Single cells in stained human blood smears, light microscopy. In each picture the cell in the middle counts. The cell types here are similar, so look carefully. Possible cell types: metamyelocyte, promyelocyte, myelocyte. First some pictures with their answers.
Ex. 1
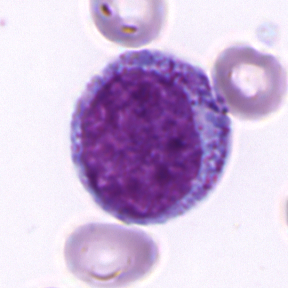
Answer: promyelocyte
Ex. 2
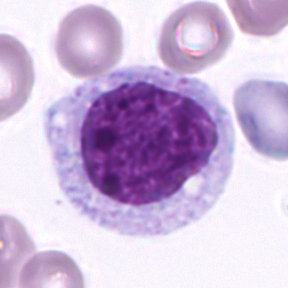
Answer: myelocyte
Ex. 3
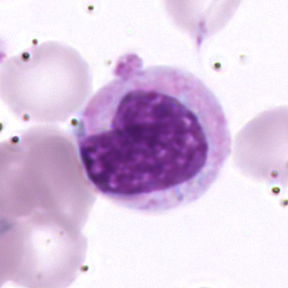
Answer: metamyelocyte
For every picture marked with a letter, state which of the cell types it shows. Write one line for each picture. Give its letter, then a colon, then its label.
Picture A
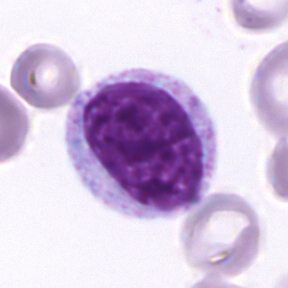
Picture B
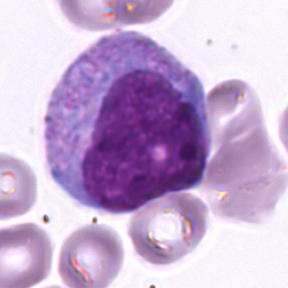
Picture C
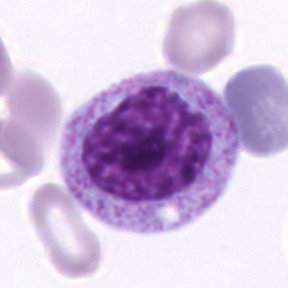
A: metamyelocyte
B: promyelocyte
C: myelocyte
